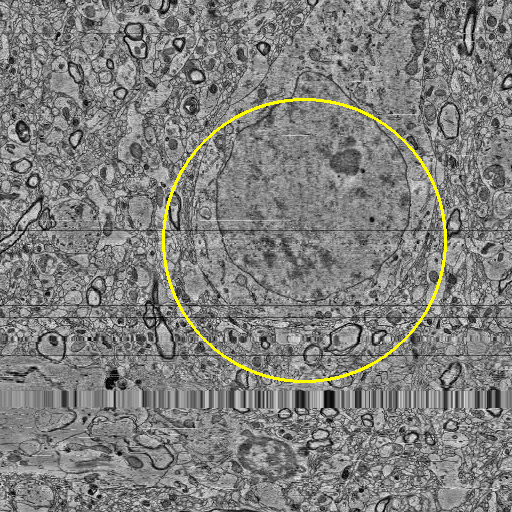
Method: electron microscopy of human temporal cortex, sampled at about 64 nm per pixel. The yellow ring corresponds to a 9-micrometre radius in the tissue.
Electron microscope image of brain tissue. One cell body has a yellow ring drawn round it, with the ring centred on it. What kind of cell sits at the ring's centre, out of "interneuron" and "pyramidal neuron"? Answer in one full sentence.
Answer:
It is a pyramidal neuron whose cell body sits at the centre of the yellow ring.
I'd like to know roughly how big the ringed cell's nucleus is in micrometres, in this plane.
Roughly 13 micrometers across in this plane.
